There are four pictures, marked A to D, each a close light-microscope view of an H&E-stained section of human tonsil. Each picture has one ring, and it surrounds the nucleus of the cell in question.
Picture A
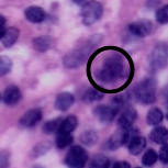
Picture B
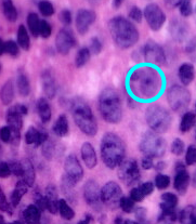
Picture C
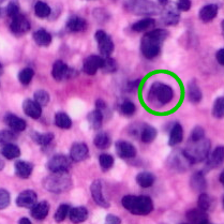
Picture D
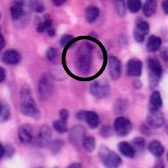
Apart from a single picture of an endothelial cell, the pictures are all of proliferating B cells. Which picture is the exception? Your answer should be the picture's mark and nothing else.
D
